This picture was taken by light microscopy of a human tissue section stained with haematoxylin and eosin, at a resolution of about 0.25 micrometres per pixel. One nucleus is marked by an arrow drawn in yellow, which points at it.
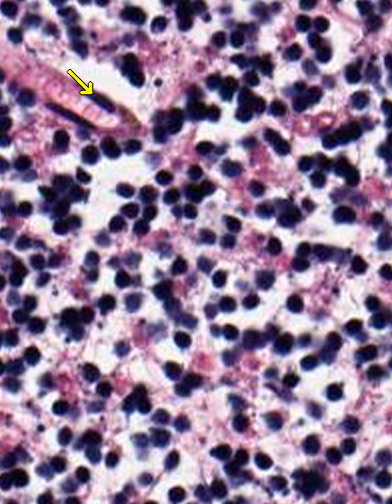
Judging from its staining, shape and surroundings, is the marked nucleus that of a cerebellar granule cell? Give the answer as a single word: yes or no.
no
